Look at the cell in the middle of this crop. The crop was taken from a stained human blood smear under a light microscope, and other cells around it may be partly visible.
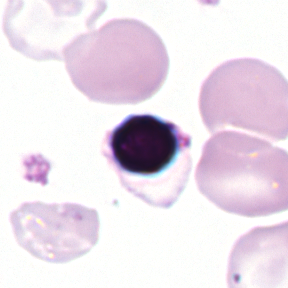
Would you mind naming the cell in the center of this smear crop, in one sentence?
The centered cell in this crop is a normoblast.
